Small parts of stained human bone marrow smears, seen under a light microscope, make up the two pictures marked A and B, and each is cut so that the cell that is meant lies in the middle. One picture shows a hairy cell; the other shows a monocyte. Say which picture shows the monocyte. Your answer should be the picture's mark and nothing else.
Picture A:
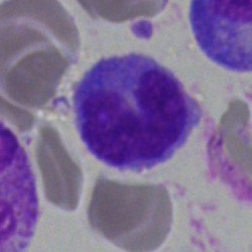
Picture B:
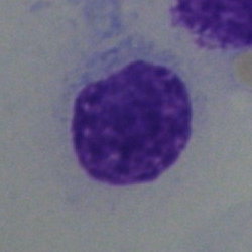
A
